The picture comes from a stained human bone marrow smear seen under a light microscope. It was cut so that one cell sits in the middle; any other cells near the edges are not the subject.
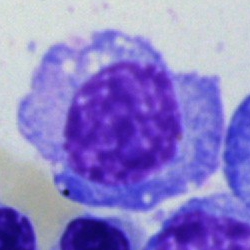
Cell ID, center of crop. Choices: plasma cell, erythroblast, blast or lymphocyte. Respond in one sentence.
For this crop, the central cell is a plasma cell.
